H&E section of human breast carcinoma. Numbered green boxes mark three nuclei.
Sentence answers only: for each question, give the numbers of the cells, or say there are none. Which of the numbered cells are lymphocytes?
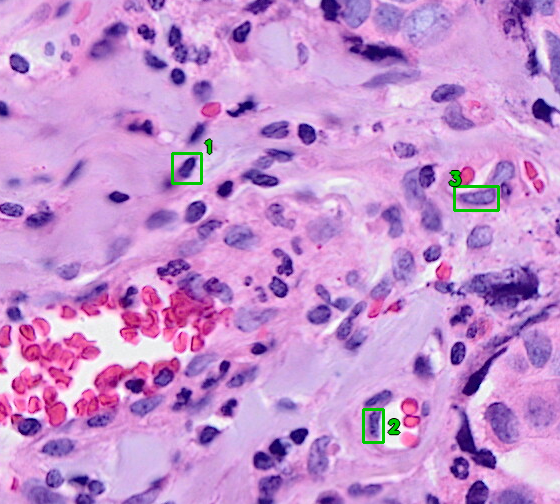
Cell 1 is the only numbered cell that is a lymphocyte.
